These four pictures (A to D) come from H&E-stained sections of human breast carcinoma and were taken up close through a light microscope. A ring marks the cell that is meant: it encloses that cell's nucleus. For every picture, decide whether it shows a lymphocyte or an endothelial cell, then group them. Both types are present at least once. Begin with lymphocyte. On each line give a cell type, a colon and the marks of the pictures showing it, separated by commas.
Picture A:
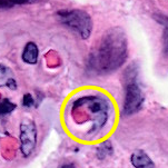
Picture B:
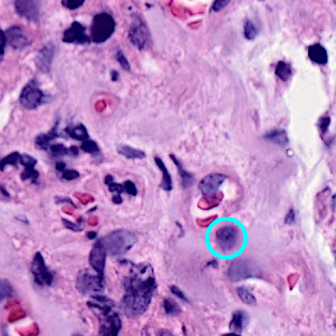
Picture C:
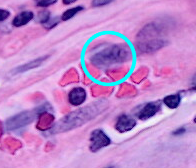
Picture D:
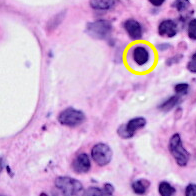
lymphocyte: D
endothelial cell: A, B, C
